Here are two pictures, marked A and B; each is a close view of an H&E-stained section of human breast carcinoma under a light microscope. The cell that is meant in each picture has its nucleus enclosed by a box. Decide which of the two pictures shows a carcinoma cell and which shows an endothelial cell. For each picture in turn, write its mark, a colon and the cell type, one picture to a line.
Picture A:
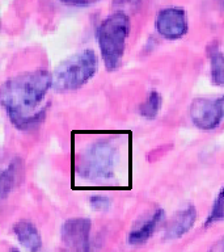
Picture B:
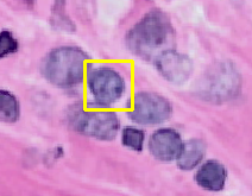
A: endothelial cell
B: carcinoma cell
